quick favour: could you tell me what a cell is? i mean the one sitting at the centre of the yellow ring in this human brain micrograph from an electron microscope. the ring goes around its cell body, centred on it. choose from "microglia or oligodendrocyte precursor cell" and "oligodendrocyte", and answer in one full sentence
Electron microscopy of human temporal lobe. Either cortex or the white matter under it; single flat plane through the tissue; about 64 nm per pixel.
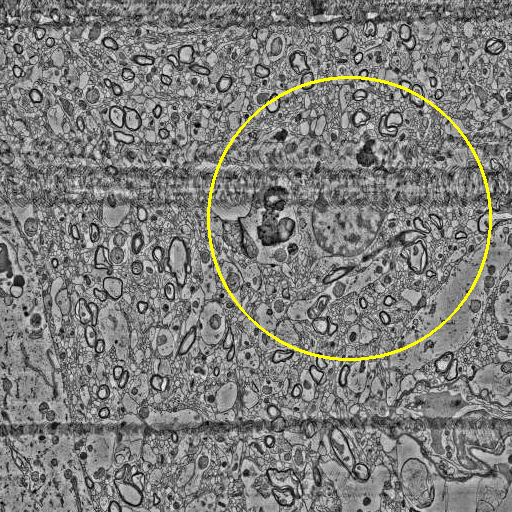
That's an oligodendrocyte, the cell sitting at the centre of the yellow ring.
